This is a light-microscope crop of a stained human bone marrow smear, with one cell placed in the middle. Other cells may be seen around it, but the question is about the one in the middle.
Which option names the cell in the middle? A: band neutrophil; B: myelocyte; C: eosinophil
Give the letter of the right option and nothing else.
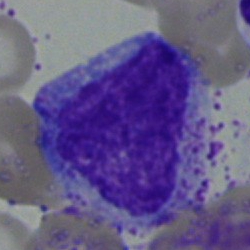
B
